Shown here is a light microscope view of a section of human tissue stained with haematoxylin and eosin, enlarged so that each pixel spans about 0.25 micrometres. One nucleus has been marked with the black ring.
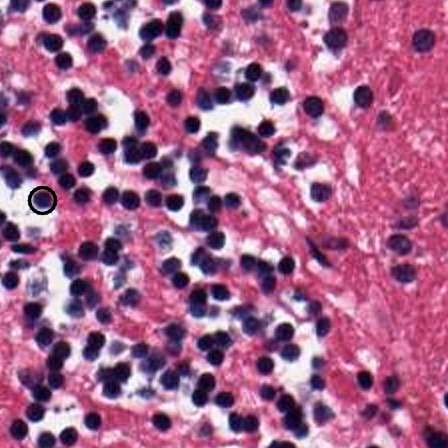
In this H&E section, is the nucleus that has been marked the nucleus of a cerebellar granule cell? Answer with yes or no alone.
yes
